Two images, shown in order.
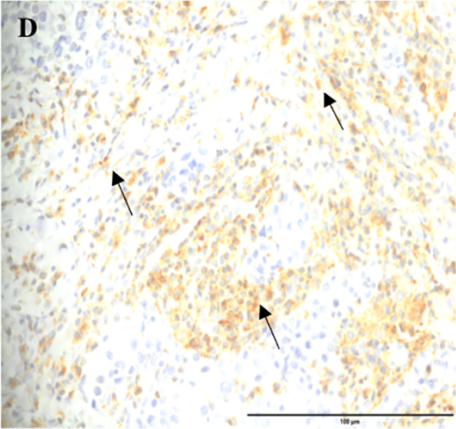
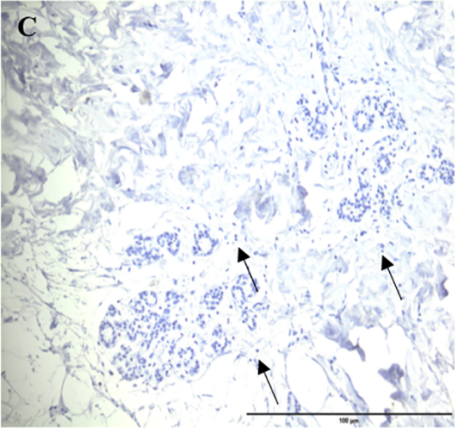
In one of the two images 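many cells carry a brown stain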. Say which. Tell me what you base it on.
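First image: numerous cells with brown cytoplasm throughout the field. Second image: only blue-counterstained nuclei, no brown product. So: the first image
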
